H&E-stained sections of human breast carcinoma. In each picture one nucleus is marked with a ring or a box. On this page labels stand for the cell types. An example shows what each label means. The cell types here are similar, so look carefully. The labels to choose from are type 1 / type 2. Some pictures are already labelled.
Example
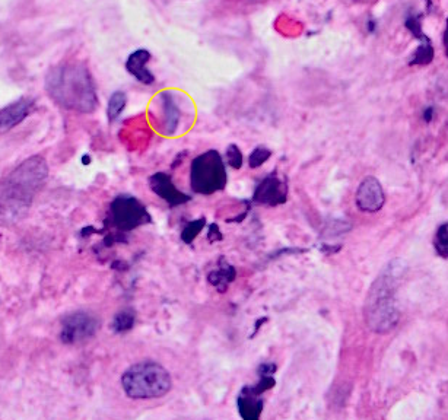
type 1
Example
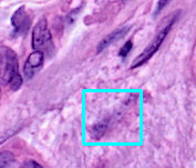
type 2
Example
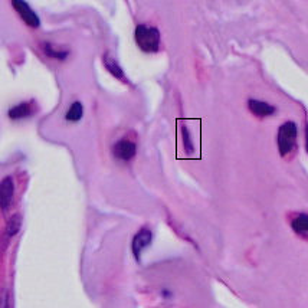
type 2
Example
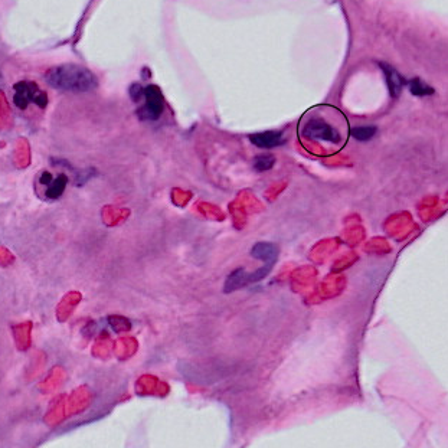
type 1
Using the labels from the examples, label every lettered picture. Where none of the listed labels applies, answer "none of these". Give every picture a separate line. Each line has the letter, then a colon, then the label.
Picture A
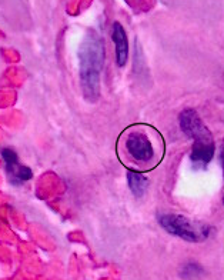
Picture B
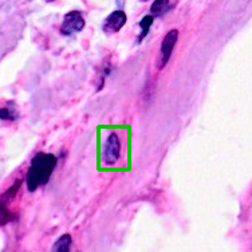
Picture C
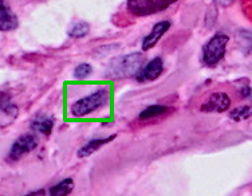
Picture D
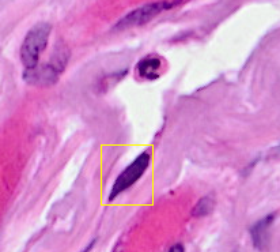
A: none of these
B: none of these
C: none of these
D: type 2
